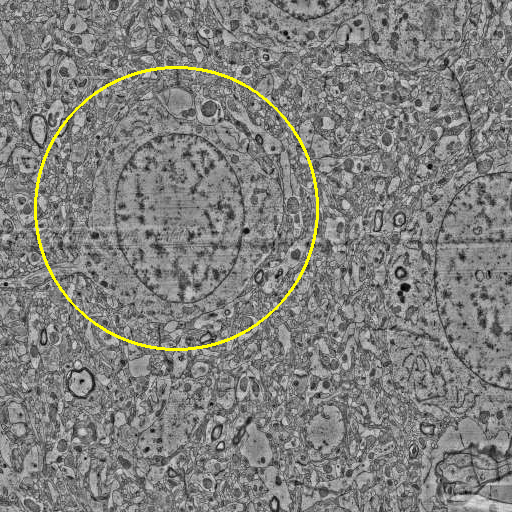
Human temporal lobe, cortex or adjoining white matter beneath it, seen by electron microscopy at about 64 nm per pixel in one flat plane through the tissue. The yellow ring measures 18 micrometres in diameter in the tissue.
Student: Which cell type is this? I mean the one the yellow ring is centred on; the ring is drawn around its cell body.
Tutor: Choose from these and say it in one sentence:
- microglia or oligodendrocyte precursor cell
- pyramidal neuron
The cell the ring is centred on is a pyramidal neuron.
